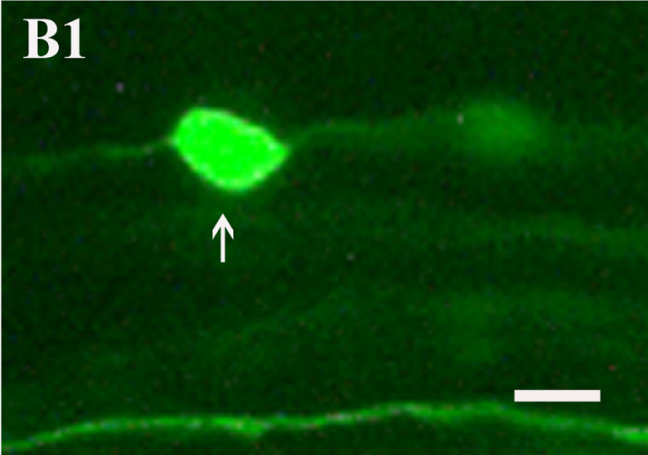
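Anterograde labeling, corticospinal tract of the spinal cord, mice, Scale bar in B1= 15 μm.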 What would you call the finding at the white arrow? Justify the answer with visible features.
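Axonal swellings and spheroids. A thin green fibre widens abruptly into a bright oval body. The oval body is many times wider than the fibre on either side. The fibre continues on both sides of the oval body.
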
